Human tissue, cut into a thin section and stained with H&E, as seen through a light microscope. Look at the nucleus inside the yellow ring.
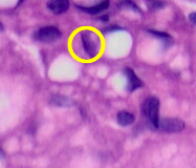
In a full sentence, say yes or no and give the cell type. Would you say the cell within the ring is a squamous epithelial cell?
Yes, the cell within the ring is a squamous epithelial cell; nothing to add.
